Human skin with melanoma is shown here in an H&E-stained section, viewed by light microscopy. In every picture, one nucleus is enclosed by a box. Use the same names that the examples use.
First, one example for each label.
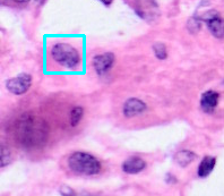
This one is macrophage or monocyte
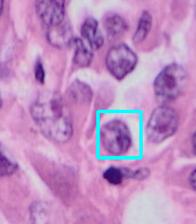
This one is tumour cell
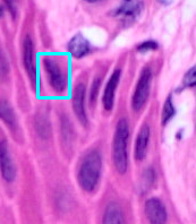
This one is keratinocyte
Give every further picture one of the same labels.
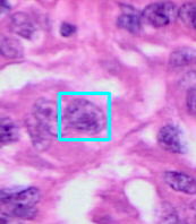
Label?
tumour cell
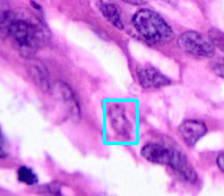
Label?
tumour cell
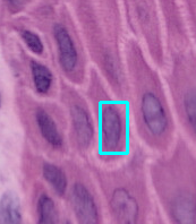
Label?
keratinocyte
